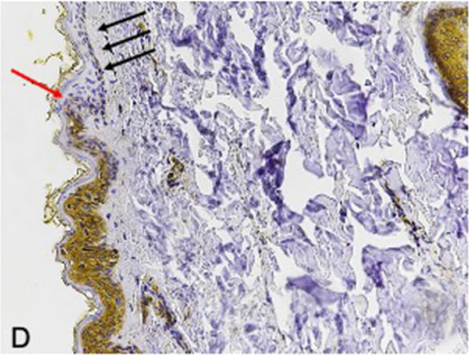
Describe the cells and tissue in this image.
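This is skin with epidermis along the left edge and dermis to the right. The lower stretch of epidermis is stained brown throughout its layers, while the upper stretch is thinner and paler, with the change between them occurring abruptly.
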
